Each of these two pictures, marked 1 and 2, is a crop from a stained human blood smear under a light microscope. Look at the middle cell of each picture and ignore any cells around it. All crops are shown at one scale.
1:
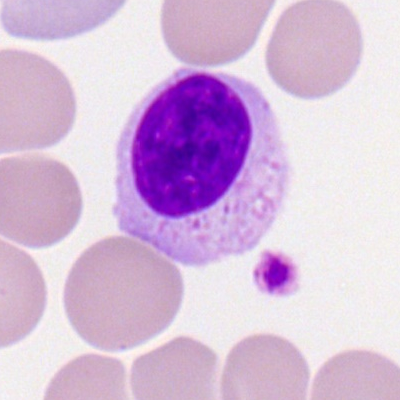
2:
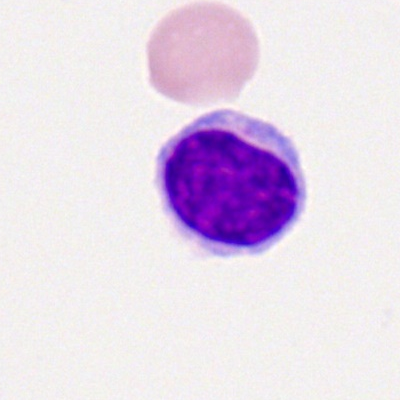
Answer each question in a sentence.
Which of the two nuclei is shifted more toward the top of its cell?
Seen within its cell, the nucleus in crop 1 lies further toward the top.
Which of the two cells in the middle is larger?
The cell in crop 1 is larger, with about 1.5 times the area of the one in crop 2.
